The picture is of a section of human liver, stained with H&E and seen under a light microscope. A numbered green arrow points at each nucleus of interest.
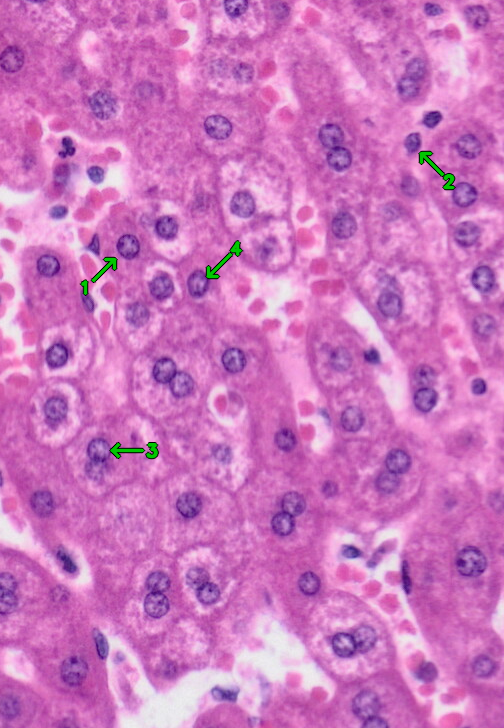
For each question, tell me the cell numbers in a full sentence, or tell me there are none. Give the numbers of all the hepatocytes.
The cells which carry the numbers 1, 3 and 4 are hepatocytes.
